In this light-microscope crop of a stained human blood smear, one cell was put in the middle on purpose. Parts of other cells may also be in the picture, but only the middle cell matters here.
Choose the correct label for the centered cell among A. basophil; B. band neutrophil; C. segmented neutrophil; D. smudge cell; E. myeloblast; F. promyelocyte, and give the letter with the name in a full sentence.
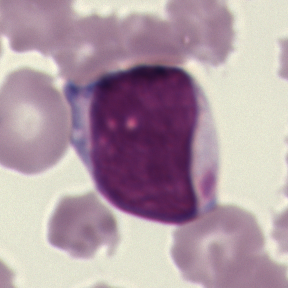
Option E, which names the central cell as a myeloblast, is correct.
